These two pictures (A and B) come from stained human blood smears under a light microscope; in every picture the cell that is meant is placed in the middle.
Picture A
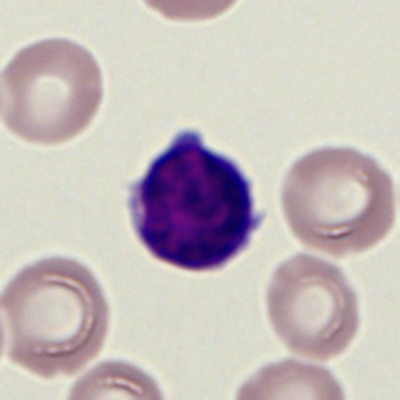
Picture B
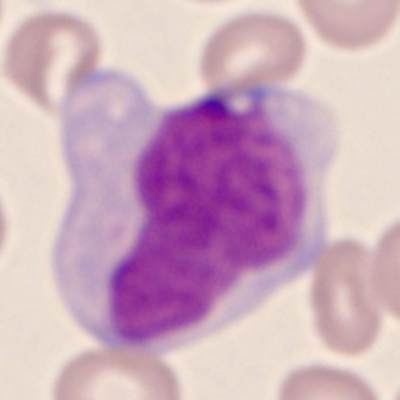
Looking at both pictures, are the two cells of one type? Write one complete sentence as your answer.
No, they differ: the cell is a lymphocyte in picture A and a monocyte in picture B.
